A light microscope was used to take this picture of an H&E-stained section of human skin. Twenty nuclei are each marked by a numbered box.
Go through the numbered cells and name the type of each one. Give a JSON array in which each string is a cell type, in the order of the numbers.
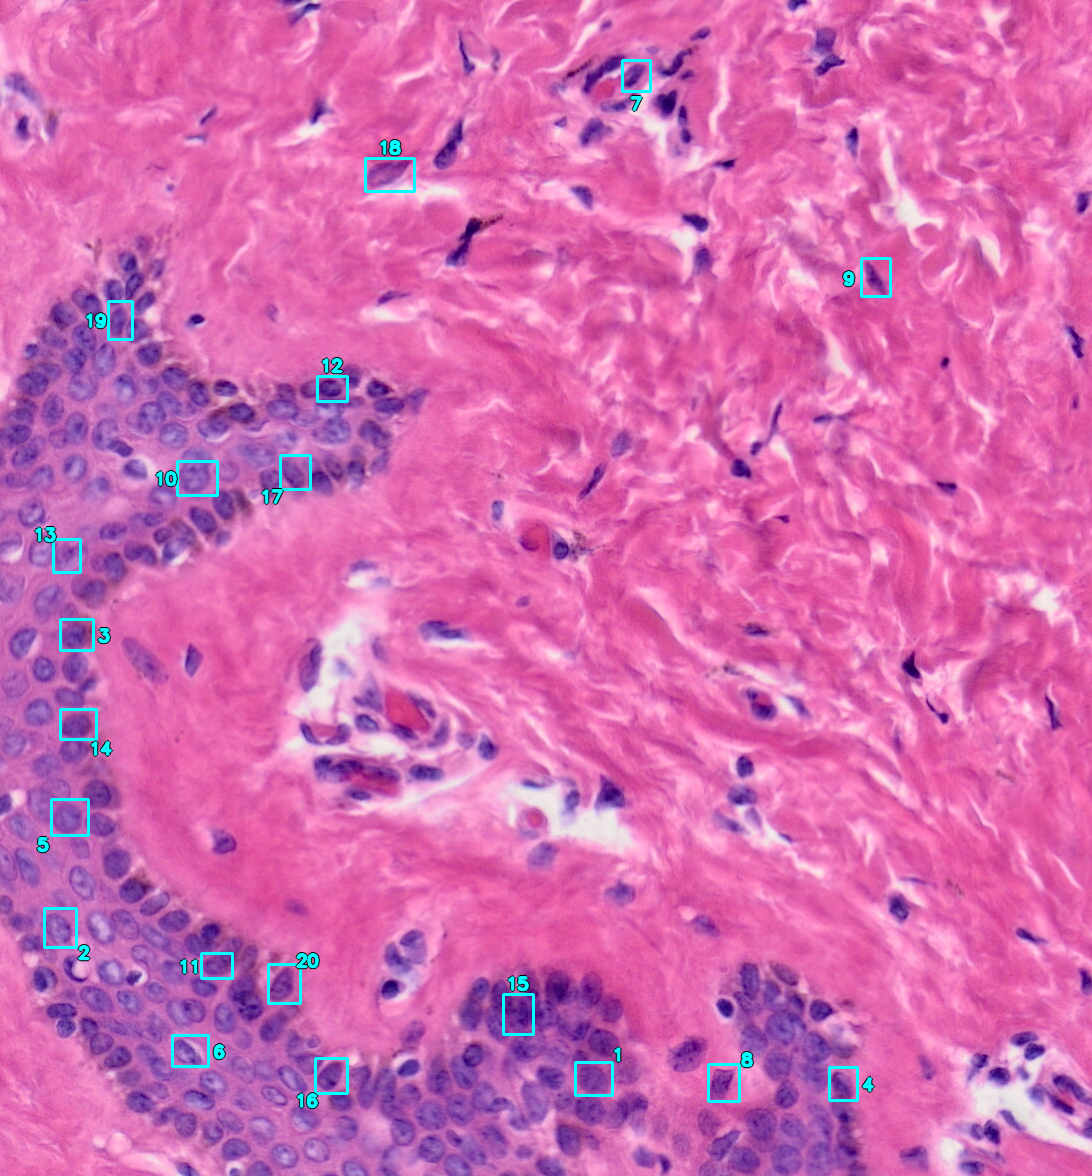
["basal keratinocyte", "suprabasal keratinocyte", "basal keratinocyte", "basal keratinocyte", "suprabasal keratinocyte", "suprabasal keratinocyte", "endothelial cell", "fibroblast", "fibroblast", "suprabasal keratinocyte", "basal keratinocyte", "basal keratinocyte", "suprabasal keratinocyte", "basal keratinocyte", "basal keratinocyte", "basal keratinocyte", "basal keratinocyte", "fibroblast", "basal keratinocyte", "basal keratinocyte"]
